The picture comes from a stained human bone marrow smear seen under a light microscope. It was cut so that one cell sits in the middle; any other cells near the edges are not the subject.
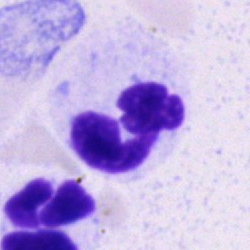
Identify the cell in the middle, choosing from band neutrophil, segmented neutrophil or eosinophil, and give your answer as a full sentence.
Regarding the central cell, it is a segmented neutrophil.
